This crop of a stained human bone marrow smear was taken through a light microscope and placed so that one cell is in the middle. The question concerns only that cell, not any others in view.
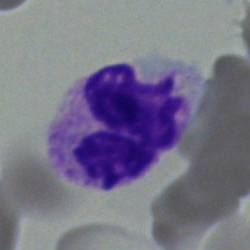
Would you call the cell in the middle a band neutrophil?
yes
